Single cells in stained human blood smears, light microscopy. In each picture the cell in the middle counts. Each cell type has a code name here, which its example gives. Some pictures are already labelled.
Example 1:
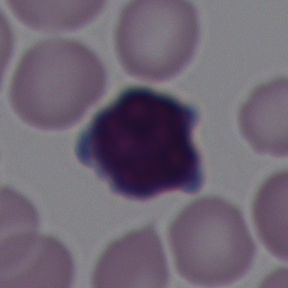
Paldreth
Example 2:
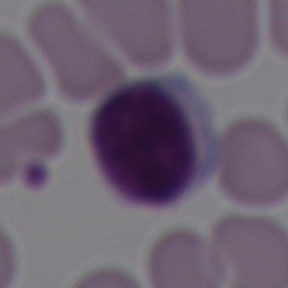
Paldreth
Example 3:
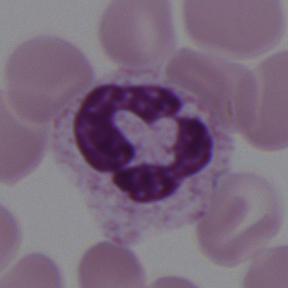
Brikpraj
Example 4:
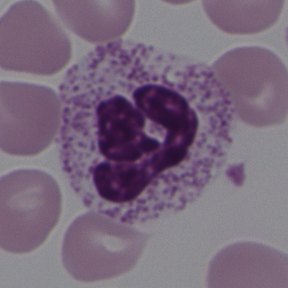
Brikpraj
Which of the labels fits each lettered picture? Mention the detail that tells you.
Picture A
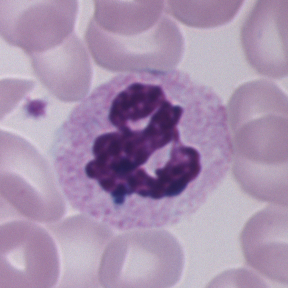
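Brikpraj: The cytoplasm is plentiful and pale pinkish-lilac.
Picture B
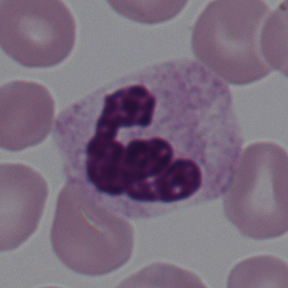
Brikpraj: The cytoplasm is plentiful and pale pinkish-grey.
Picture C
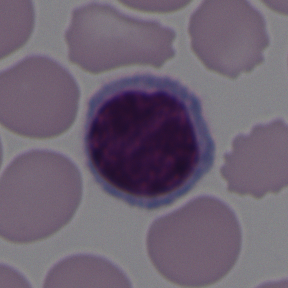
Paldreth: The cytoplasm forms a thin rim around the nucleus.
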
